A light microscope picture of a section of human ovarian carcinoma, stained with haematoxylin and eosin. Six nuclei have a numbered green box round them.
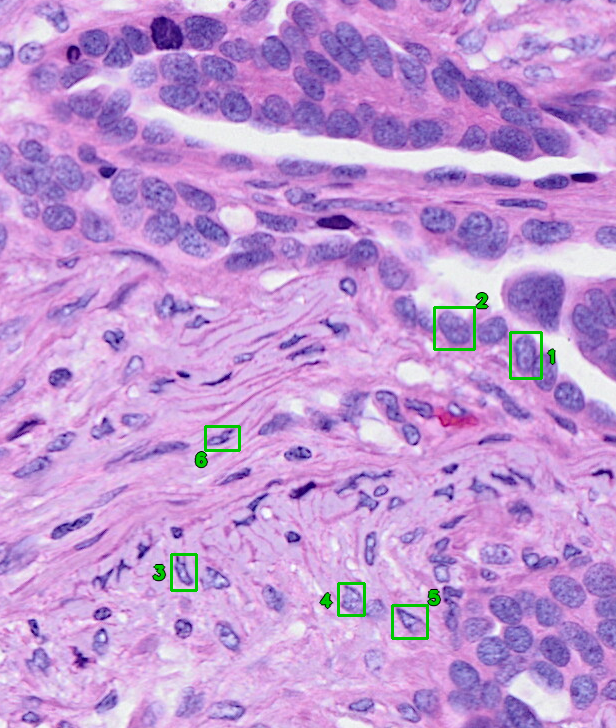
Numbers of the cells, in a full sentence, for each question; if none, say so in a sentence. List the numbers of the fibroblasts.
Into the category of fibroblasts fall the cells numbered 3, 4, 5 and 6.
